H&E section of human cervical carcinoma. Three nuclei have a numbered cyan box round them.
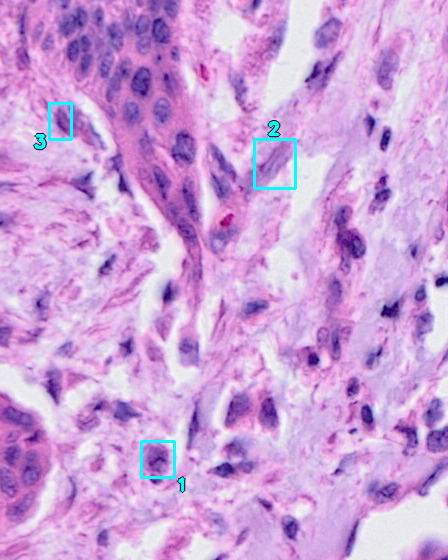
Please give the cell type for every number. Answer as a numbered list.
1. macrophage or monocyte
2. fibroblast
3. fibroblast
